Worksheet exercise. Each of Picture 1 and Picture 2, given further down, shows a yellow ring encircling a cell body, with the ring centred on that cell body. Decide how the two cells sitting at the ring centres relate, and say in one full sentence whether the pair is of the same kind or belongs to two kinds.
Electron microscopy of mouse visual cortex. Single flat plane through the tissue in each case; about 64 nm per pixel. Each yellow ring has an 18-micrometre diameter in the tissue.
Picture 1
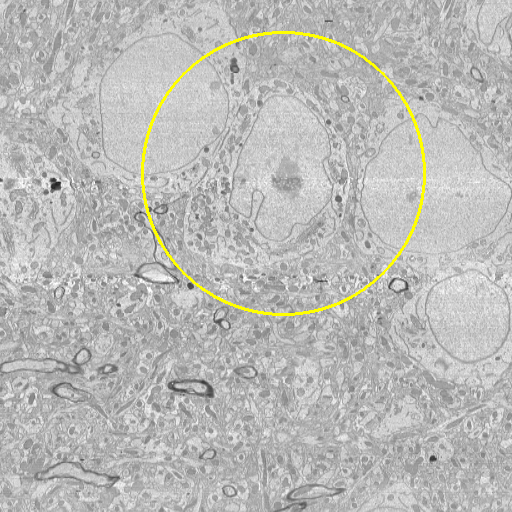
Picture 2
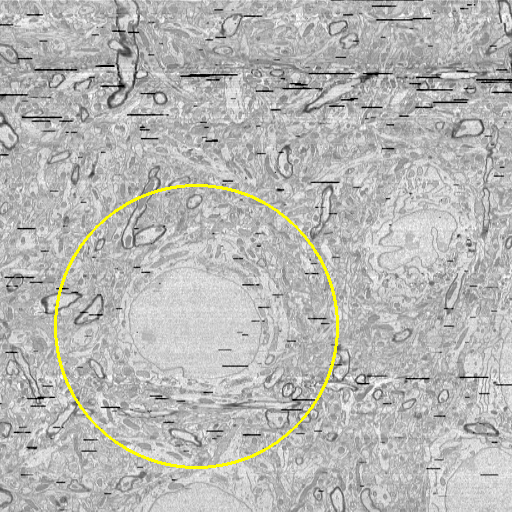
The cells at the ring centres in Picture 1 and Picture 2 belong to two kinds.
